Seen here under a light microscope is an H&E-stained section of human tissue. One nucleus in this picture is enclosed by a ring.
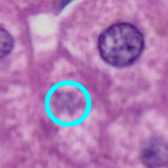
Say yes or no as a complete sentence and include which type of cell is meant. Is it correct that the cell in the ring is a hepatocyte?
Yes, the cell in the ring is properly called a hepatocyte in this section.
